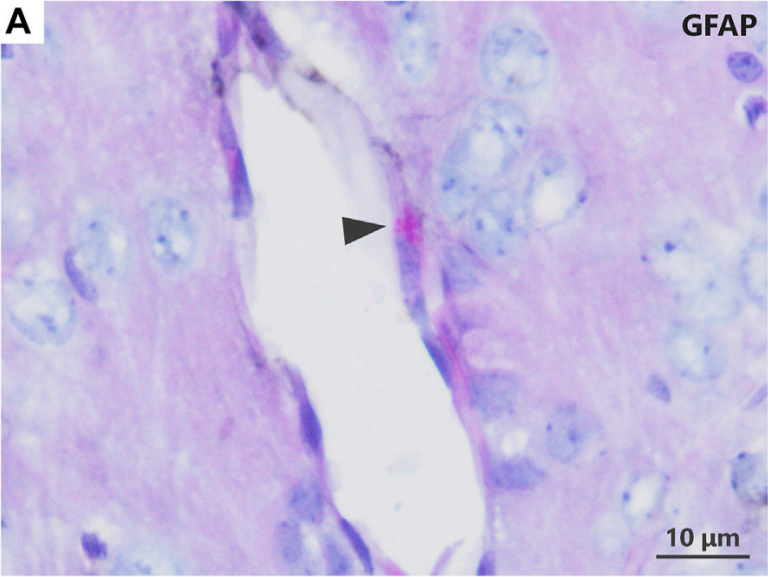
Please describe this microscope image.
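A blood vessel with a wide, empty lumen runs vertically through pink-violet brain tissue, its wall lined by thin elongated blue nuclei. In a flattened cell along the vessel wall there is a small cluster of bright magenta granules. Only faint dark lines follow the outer border of the vessel, with no clearly stained branching cells nearby. The surrounding tissue holds large round pale nuclei with fine chromatin, as seen in neurons. The granule-laden cell hugging the vessel wall sits in the perivascular position.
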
